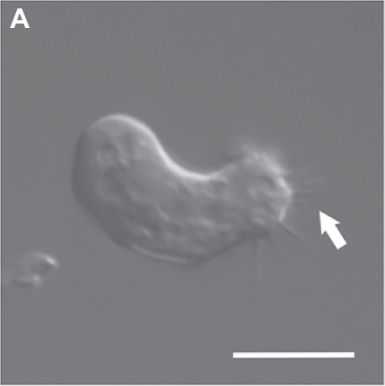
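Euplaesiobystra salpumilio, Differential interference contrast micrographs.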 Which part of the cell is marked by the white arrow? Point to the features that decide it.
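Uroidal filaments. A tuft of fine thread-like projections extends from the trailing end of the cell. The arrow points at these fine projections.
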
